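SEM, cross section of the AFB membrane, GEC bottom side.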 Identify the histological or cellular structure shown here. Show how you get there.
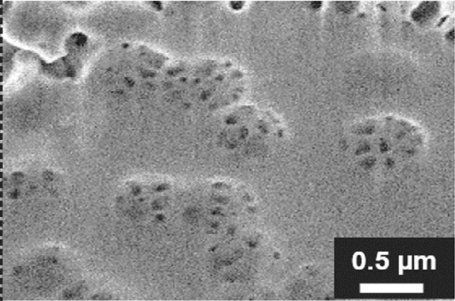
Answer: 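Rounded patches on a smooth cell surface. Each patch is perforated by many small dark pores well under 0.1 µm across. Pores are grouped in clusters rather than spread evenly.
Fenestrae‐like structures.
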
